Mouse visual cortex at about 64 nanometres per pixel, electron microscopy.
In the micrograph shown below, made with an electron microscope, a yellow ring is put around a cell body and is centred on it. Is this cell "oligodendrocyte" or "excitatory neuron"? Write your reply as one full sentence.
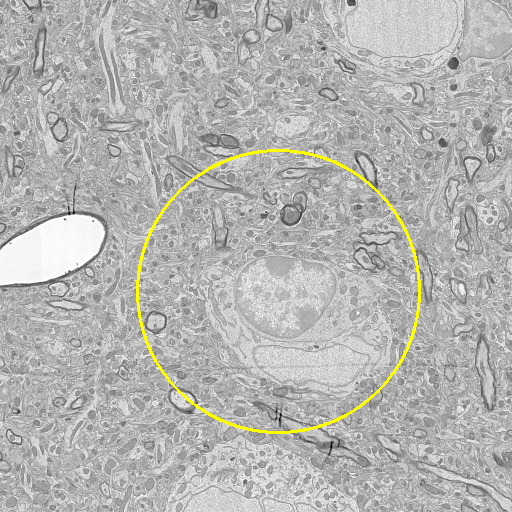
In the micrograph, an oligodendrocyte is the cell at the centre of the yellow ring.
